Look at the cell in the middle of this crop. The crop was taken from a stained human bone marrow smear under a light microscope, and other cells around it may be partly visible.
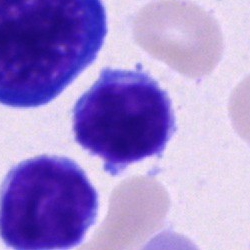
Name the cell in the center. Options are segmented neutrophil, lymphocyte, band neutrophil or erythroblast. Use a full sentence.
At the center of the crop sits a lymphocyte.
